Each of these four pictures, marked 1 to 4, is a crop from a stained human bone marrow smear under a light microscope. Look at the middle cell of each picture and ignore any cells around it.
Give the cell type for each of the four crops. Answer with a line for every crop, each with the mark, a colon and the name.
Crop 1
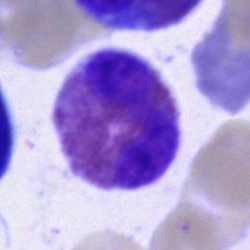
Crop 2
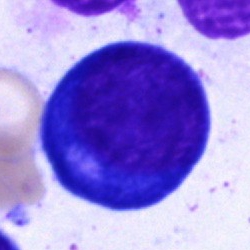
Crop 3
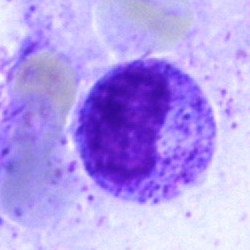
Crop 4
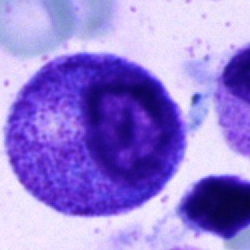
1: eosinophil
2: proerythroblast
3: metamyelocyte
4: myelocyte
